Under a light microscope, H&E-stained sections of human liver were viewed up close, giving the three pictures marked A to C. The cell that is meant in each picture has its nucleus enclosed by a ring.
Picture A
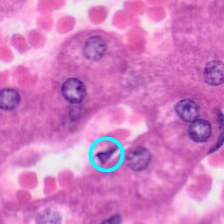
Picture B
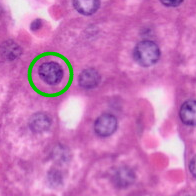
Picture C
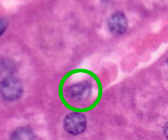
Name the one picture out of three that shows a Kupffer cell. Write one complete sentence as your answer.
The Kupffer cell is the one in picture C.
